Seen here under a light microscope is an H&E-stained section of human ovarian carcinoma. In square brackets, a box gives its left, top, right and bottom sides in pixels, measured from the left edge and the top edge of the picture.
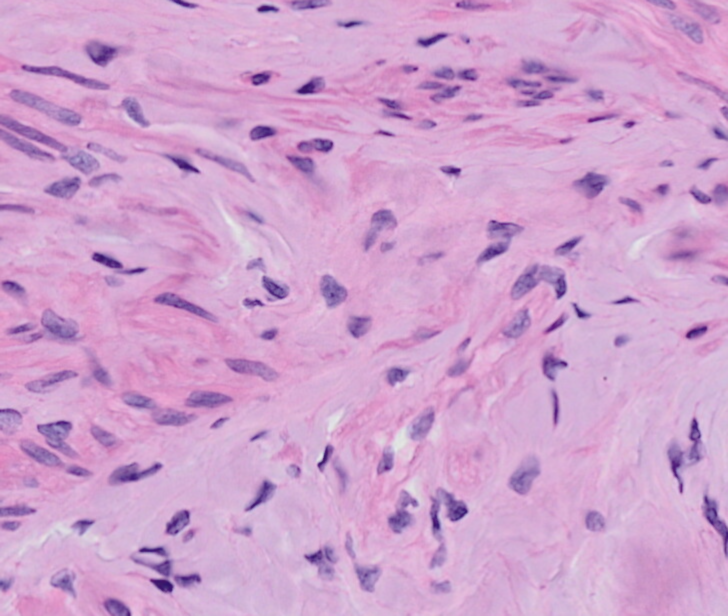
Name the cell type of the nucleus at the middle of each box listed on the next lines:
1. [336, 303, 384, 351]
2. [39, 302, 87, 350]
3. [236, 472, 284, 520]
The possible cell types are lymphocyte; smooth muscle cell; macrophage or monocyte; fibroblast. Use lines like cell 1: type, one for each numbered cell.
cell 1: fibroblast
cell 2: smooth muscle cell
cell 3: fibroblast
